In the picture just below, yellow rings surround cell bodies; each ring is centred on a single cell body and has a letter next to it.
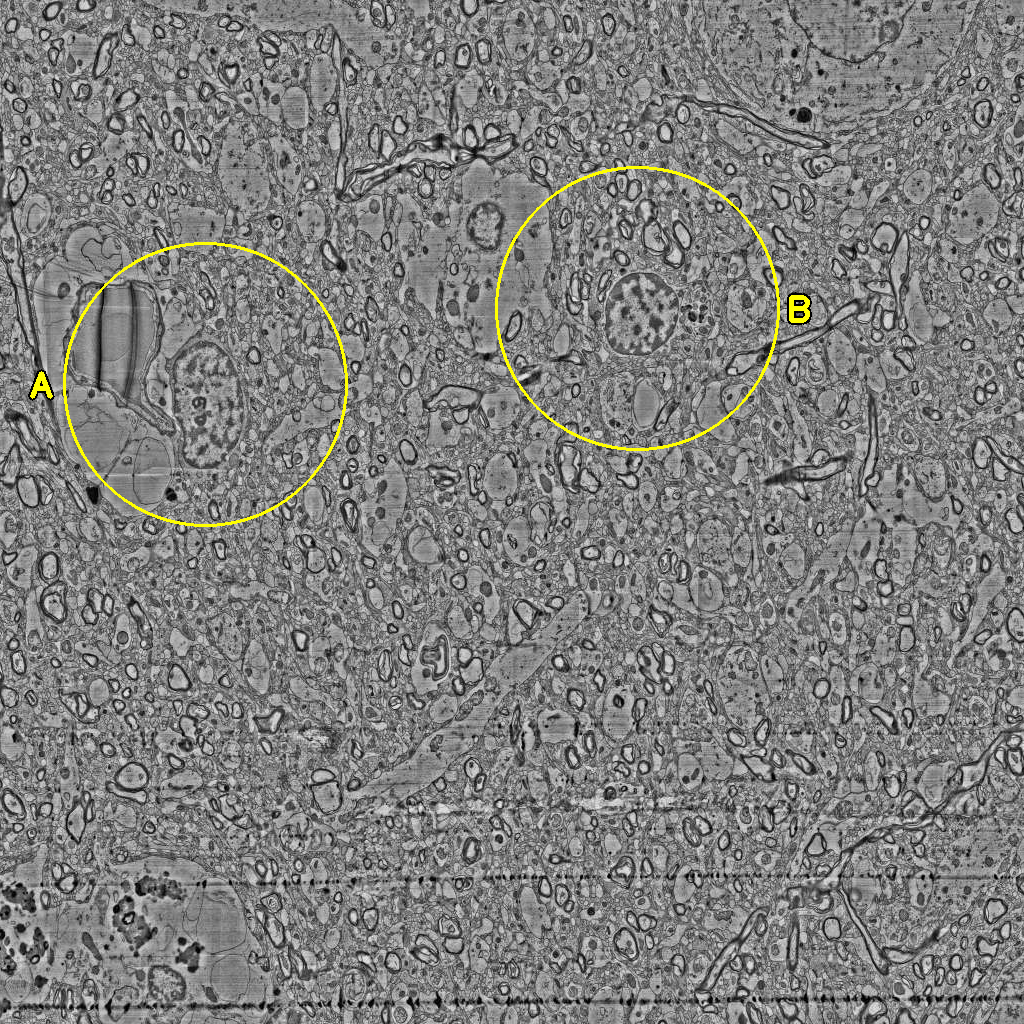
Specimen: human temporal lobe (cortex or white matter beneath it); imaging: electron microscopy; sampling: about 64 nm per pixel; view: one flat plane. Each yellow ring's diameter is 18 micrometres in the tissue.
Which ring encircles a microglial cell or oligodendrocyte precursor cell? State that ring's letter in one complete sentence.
The letter B marks the ring centred on the cell asked for in the picture.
